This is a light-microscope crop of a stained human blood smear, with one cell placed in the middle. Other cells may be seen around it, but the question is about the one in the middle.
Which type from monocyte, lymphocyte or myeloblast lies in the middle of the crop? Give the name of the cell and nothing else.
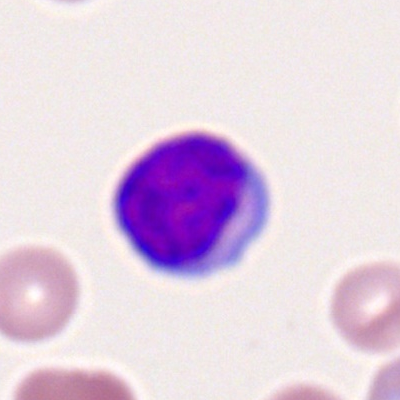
lymphocyte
